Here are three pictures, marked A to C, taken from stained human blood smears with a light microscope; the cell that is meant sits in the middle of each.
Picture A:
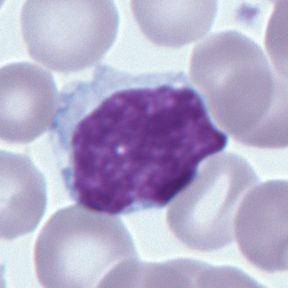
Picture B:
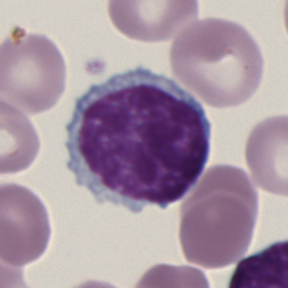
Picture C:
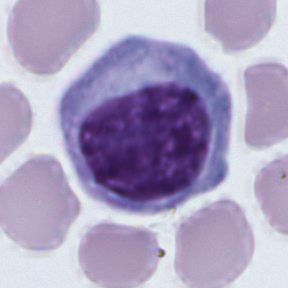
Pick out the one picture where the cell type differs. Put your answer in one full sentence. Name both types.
The different one is picture C; it shows a plasma cell, whereas all the others show typical lymphocytes.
